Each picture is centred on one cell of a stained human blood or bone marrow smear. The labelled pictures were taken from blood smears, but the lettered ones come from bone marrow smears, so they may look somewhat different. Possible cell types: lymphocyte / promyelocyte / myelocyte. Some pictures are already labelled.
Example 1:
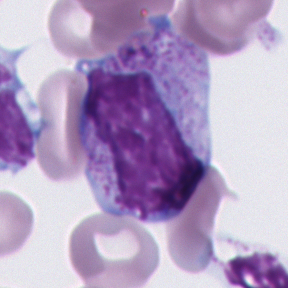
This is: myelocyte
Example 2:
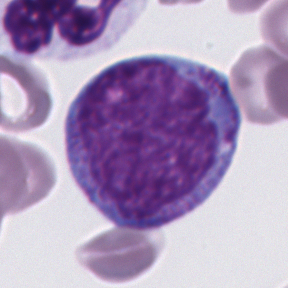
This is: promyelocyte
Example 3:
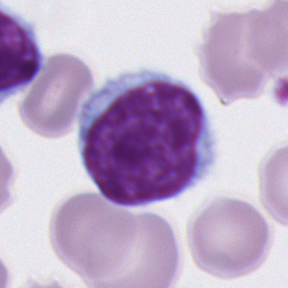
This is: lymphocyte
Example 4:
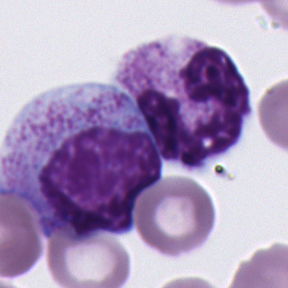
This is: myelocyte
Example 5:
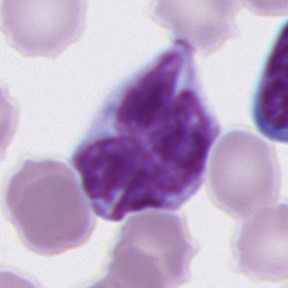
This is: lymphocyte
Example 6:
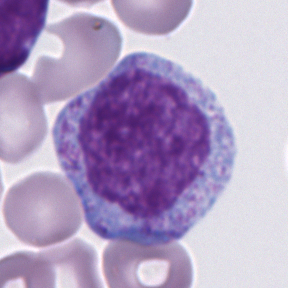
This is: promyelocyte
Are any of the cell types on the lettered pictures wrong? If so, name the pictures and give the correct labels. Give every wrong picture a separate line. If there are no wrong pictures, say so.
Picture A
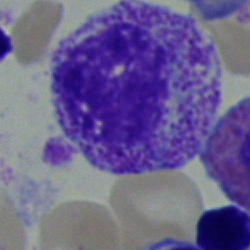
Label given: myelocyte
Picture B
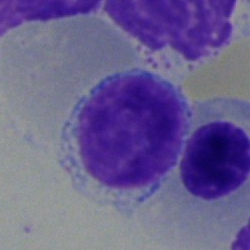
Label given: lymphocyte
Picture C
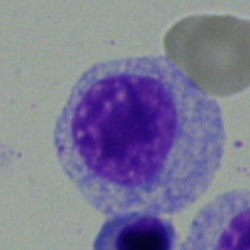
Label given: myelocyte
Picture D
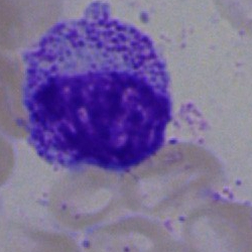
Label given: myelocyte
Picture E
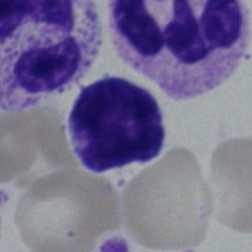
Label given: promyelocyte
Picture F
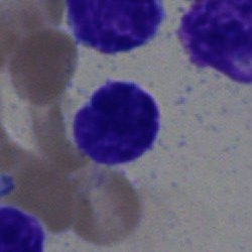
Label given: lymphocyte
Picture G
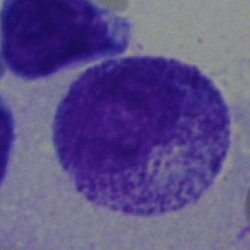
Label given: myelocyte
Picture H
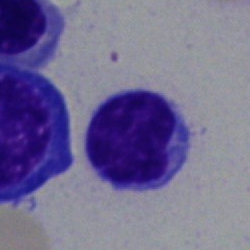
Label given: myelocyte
E: change promyelocyte to lymphocyte
H: change myelocyte to lymphocyte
